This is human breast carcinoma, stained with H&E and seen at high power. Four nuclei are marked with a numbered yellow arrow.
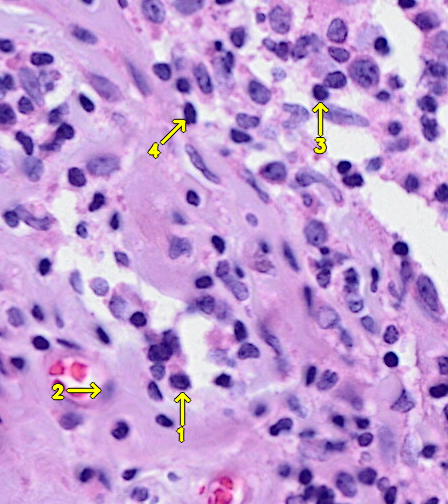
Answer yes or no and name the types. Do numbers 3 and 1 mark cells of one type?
Yes, by cell type, cells 3 and 1 are both lymphocytes.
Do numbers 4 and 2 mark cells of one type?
No, cell 4 is identified as a lymphocyte, and cell 2 is identified as an endothelial cell.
